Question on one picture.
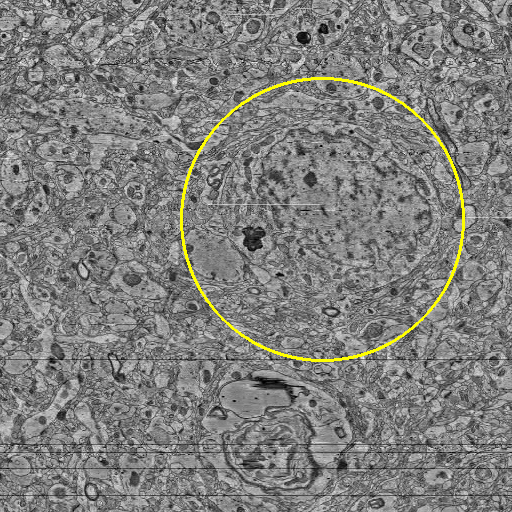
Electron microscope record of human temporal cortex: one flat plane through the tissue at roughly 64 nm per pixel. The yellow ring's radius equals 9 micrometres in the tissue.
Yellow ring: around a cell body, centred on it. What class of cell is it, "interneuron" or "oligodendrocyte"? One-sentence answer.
This is an interneuron, the cell the ring is centred on.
